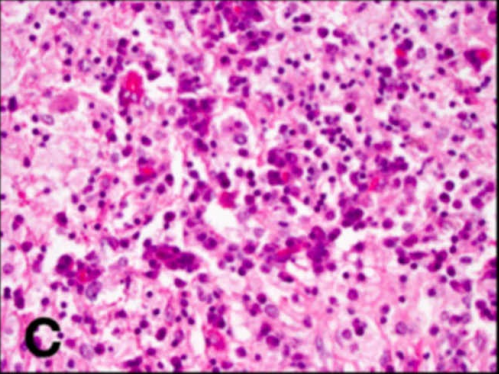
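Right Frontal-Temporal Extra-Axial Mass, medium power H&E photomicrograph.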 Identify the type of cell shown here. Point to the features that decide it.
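Large cells with abundant pale pink cytoplasm. Numerous small cells with dark round nuclei intermingled among them. So: a mixed population of macrophages and lymphocytes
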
